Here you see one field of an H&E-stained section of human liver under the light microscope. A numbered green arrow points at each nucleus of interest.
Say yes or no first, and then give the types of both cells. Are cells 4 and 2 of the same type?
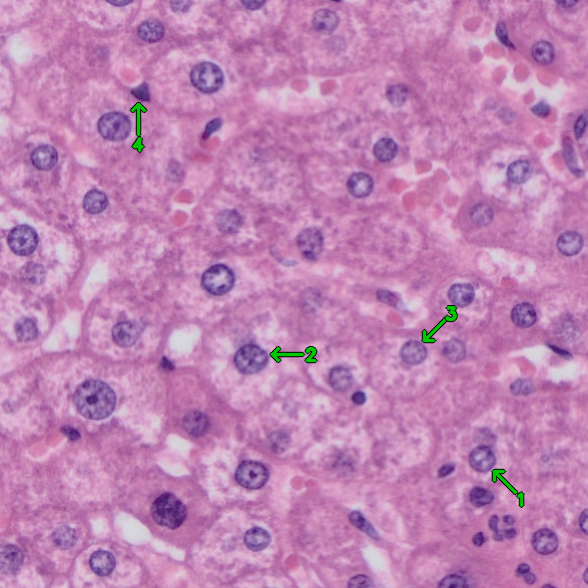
No, cell 4 is a fibroblast or stellate cell and cell 2 is a hepatocyte.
